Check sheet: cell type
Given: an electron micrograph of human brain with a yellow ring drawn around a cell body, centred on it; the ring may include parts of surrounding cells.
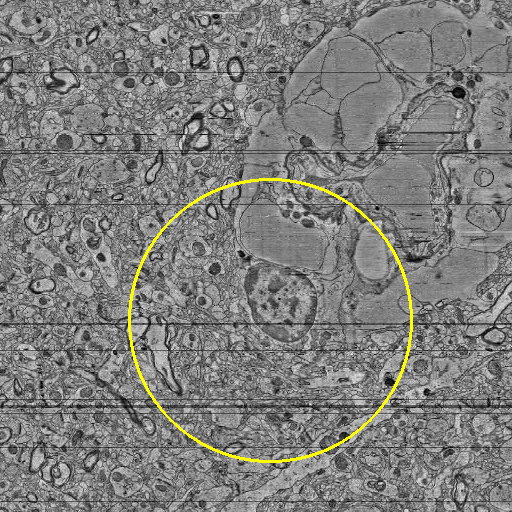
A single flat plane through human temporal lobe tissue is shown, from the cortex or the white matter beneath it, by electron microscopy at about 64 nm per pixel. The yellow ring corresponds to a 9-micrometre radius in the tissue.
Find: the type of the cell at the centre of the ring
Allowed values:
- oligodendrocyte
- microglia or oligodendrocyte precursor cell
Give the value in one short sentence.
Here the ringed cell is a microglial cell or oligodendrocyte precursor cell.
